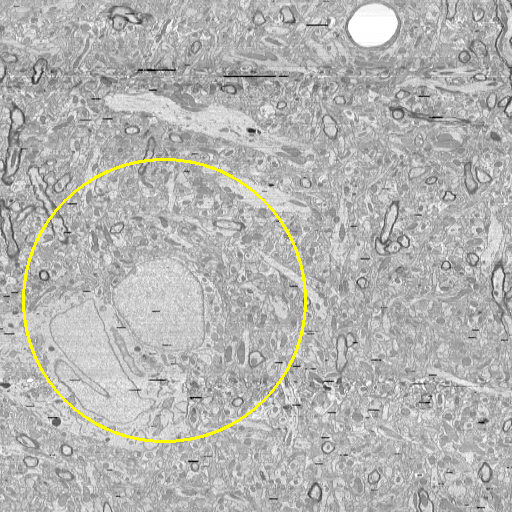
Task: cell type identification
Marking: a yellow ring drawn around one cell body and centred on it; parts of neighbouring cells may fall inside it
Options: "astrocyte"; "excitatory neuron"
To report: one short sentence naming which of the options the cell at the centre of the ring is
The cell at the centre of the ring is an astrocyte.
